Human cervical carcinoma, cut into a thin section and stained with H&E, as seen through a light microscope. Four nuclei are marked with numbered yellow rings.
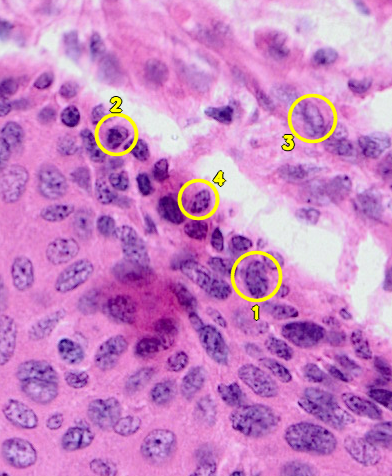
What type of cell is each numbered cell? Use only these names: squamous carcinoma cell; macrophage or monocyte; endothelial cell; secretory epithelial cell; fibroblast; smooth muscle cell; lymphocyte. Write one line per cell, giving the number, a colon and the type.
1: squamous carcinoma cell
2: squamous carcinoma cell
3: endothelial cell
4: squamous carcinoma cell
